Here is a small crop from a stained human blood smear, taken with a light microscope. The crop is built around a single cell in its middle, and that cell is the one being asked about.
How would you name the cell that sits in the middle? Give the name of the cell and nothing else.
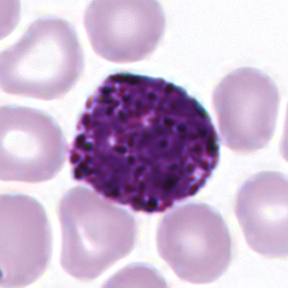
basophil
